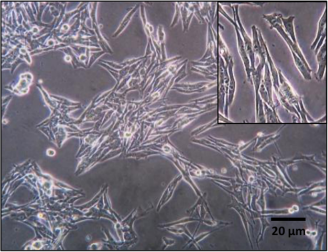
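Few round refractile cells are seen. The enlarged inset shows elongated cells aligned side by side, some with branching ends.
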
